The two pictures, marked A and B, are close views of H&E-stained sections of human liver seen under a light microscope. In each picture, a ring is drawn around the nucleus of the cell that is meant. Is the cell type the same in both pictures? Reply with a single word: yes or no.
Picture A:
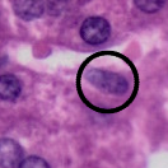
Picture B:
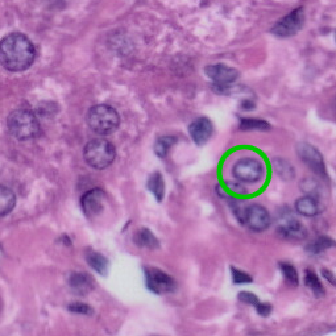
no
